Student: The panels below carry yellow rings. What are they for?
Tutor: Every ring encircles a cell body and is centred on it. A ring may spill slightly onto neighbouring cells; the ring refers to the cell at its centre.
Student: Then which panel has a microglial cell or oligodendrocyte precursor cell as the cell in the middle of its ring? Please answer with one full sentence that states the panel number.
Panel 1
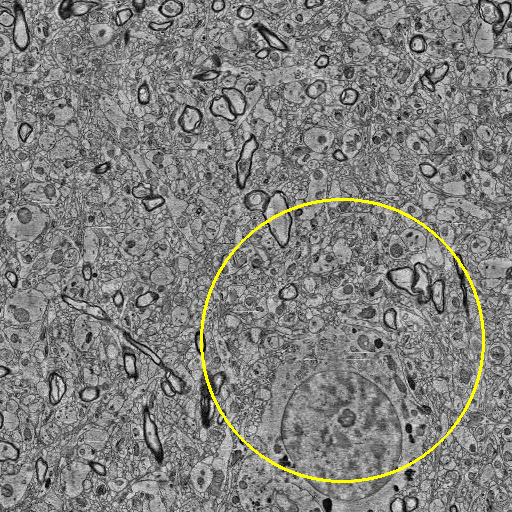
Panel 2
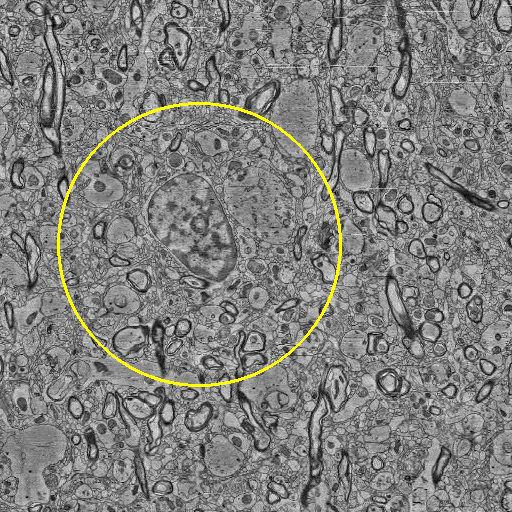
In Panel 2, the cell centred in the ring is the one sought.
